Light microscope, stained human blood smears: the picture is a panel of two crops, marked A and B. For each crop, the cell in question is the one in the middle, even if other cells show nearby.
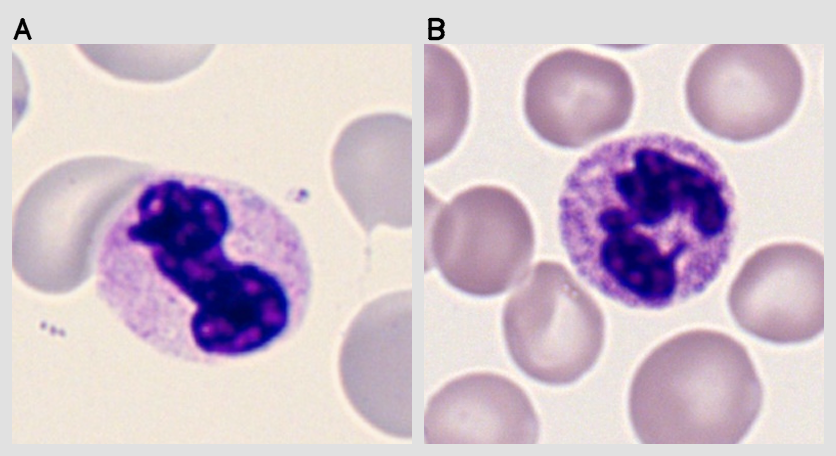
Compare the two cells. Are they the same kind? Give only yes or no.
yes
